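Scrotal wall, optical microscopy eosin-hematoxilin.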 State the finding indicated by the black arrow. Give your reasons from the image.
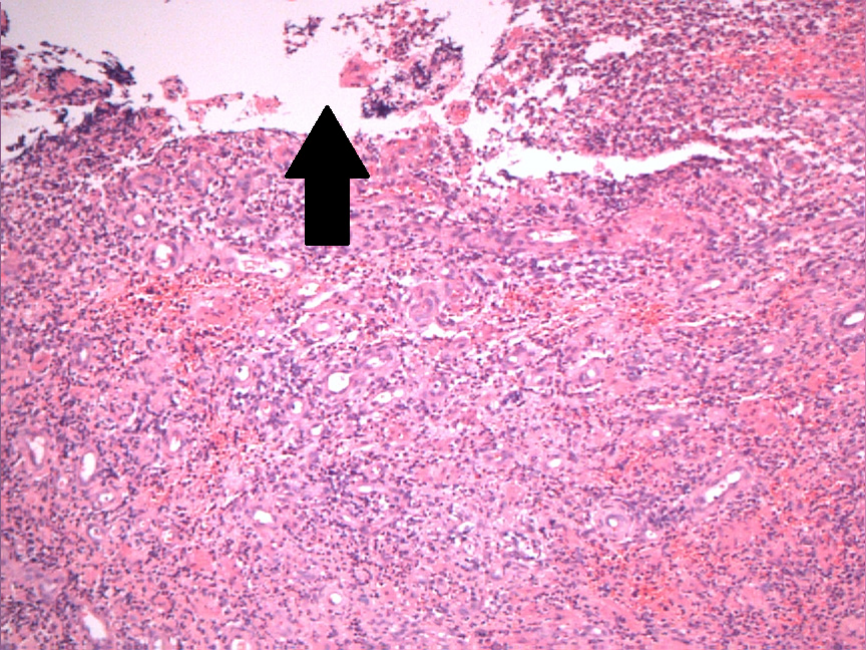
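No layer of epidermis covers the surface where the arrow points. The surface is ragged, with loose fragments of debris and inflammatory cells lying above it.
Ulceration.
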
